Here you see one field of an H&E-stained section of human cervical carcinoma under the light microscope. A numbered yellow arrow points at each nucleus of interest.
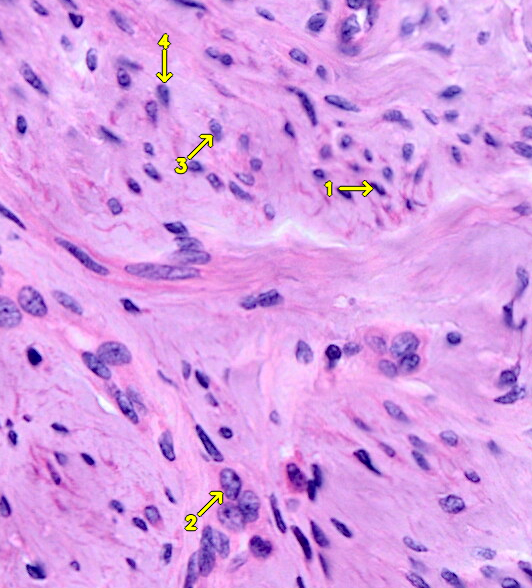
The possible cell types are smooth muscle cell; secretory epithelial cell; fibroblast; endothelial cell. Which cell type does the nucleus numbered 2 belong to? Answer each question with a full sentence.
The one labeled 2 is an endothelial cell, to put it simply.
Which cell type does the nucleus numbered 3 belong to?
The marked cell with the number 3 is recognised as a smooth muscle cell.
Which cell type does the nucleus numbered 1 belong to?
Marked with the number 1, this cell is a smooth muscle cell.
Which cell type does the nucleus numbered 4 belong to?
Among the marked cells, number 4 is a fibroblast.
